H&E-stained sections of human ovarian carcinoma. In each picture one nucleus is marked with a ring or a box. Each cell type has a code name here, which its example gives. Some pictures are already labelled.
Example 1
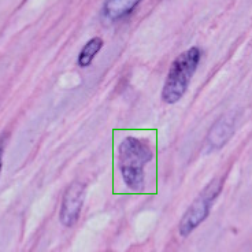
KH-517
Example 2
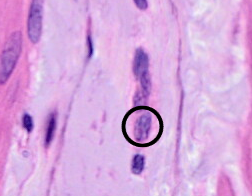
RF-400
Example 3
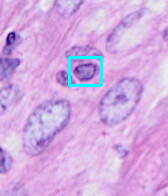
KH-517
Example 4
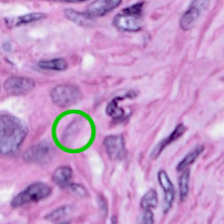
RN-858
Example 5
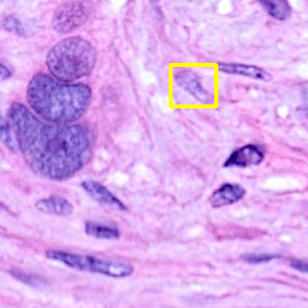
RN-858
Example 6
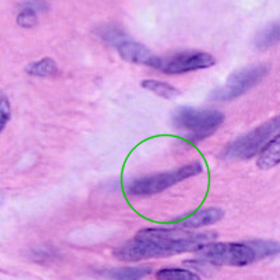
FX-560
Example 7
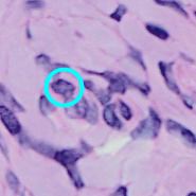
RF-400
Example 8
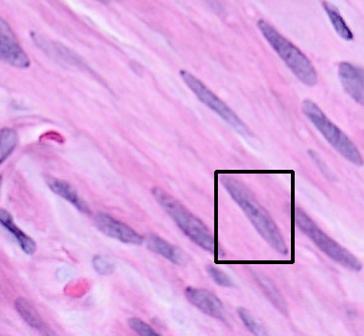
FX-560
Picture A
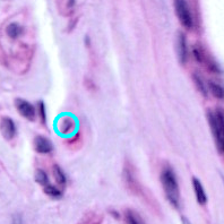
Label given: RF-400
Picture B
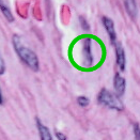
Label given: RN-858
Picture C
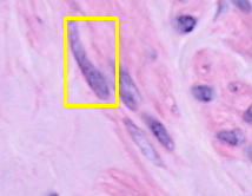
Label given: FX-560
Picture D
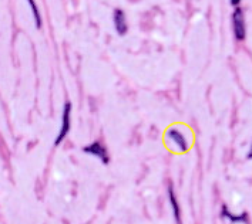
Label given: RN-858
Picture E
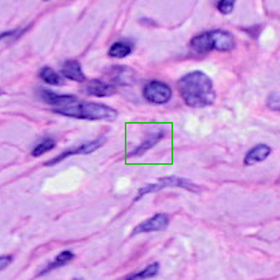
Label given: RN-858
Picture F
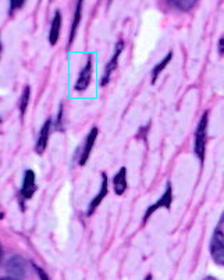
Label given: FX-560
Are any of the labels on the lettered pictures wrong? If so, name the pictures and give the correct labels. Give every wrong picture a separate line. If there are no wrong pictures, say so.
F: not FX-560 but RN-858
